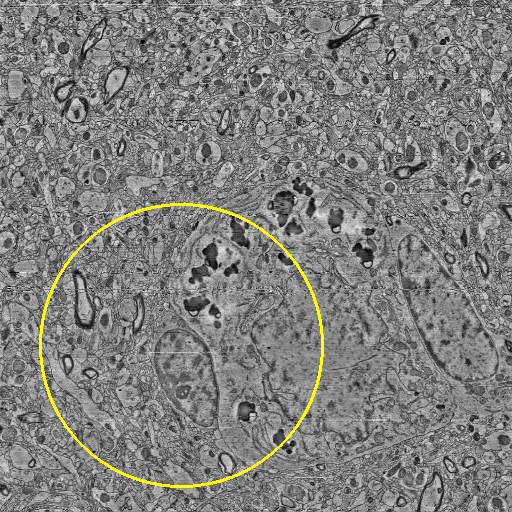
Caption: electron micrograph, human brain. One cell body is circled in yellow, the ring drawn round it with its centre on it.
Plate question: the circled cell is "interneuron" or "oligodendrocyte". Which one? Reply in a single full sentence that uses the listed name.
The yellow ring on the plate is centred on an oligodendrocyte, going by the listed names.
